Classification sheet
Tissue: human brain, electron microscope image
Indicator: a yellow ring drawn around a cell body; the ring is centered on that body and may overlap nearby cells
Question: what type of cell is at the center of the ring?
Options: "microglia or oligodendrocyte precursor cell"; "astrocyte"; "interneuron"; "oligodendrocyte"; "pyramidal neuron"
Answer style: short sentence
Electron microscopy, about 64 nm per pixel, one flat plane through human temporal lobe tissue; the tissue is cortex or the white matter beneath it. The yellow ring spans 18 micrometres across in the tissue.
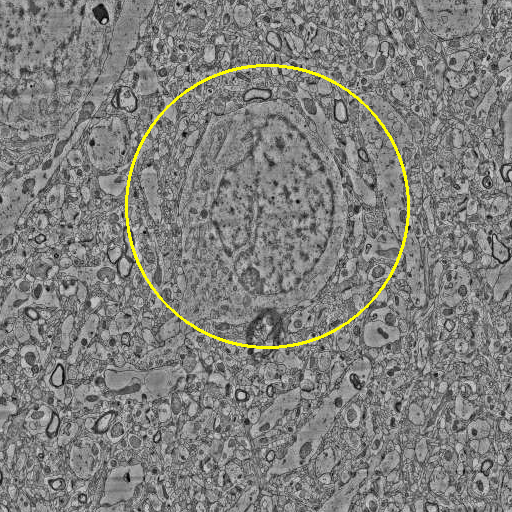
At the ring's center is an interneuron.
